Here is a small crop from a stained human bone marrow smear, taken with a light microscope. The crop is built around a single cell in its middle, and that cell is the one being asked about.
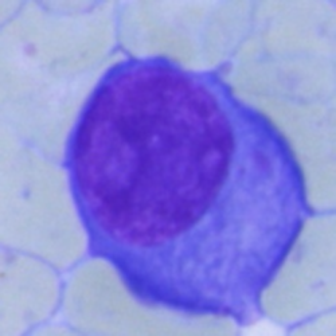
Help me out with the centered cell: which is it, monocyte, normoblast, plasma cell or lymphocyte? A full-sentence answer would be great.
Within this crop, a plasma cell occupies the central position.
